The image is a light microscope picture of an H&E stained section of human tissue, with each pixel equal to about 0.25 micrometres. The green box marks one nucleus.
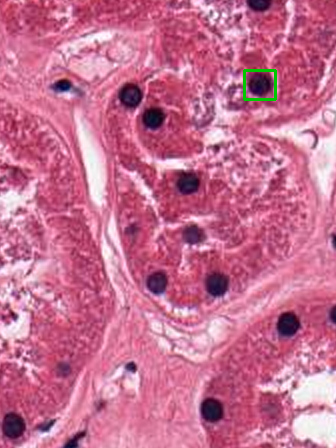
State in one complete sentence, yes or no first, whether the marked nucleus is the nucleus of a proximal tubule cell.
Yes, a proximal tubule cell is what the marked nucleus belongs to.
